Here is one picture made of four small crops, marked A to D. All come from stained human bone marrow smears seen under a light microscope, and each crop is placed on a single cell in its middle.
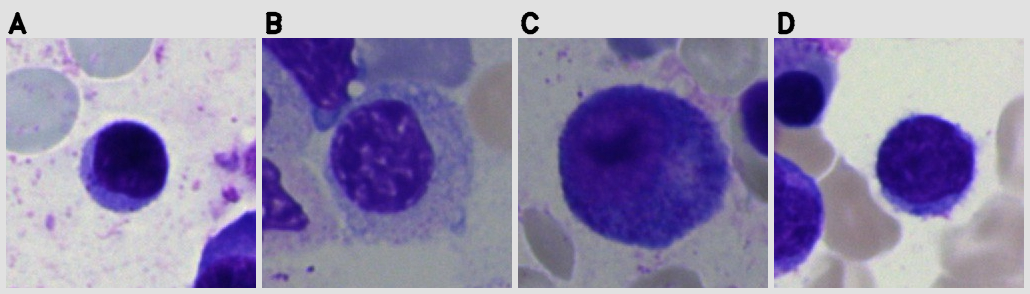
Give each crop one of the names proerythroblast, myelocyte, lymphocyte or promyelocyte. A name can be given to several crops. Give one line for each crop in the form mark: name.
A: lymphocyte
B: myelocyte
C: promyelocyte
D: lymphocyte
